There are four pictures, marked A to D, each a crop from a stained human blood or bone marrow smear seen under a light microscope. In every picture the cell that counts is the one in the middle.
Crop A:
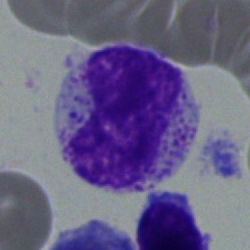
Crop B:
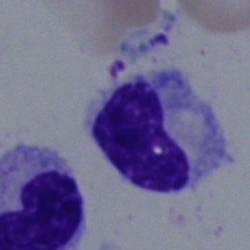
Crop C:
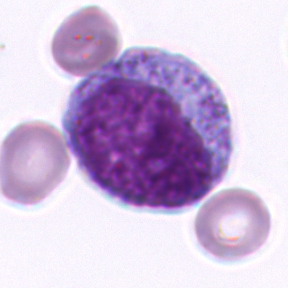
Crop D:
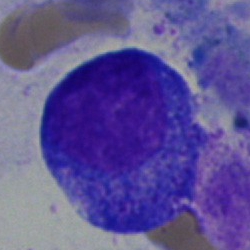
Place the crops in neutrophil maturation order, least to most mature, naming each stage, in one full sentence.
The order from the least mature cell to the most mature cell is crop D (a promyelocyte), crop C (a myelocyte), crop A (a metamyelocyte) and crop B (a band neutrophil).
